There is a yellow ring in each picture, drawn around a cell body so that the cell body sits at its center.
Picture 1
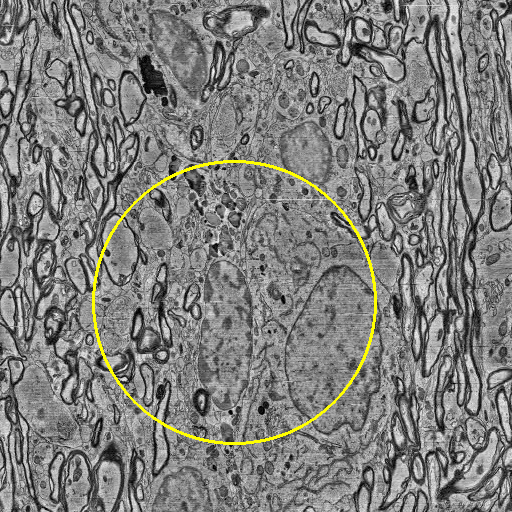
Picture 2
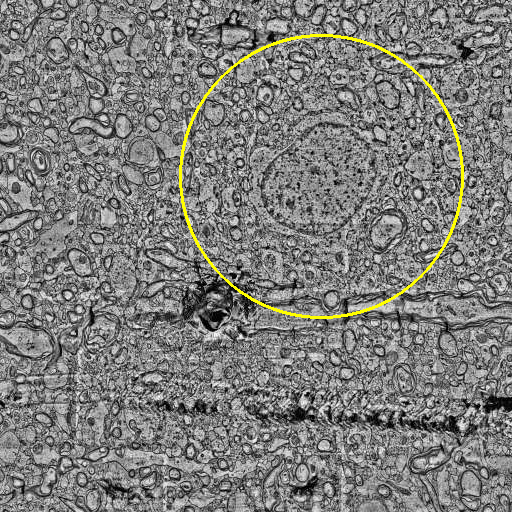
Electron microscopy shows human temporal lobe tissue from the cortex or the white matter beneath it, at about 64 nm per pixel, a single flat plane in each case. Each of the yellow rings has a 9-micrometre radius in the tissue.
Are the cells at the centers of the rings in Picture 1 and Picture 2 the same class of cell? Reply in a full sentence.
Yes, the two cells are the same class of cell.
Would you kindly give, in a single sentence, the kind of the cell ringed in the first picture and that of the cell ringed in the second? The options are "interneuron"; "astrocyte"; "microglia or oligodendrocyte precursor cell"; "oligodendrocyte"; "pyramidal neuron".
Each of the two cells is a microglial cell or oligodendrocyte precursor cell.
